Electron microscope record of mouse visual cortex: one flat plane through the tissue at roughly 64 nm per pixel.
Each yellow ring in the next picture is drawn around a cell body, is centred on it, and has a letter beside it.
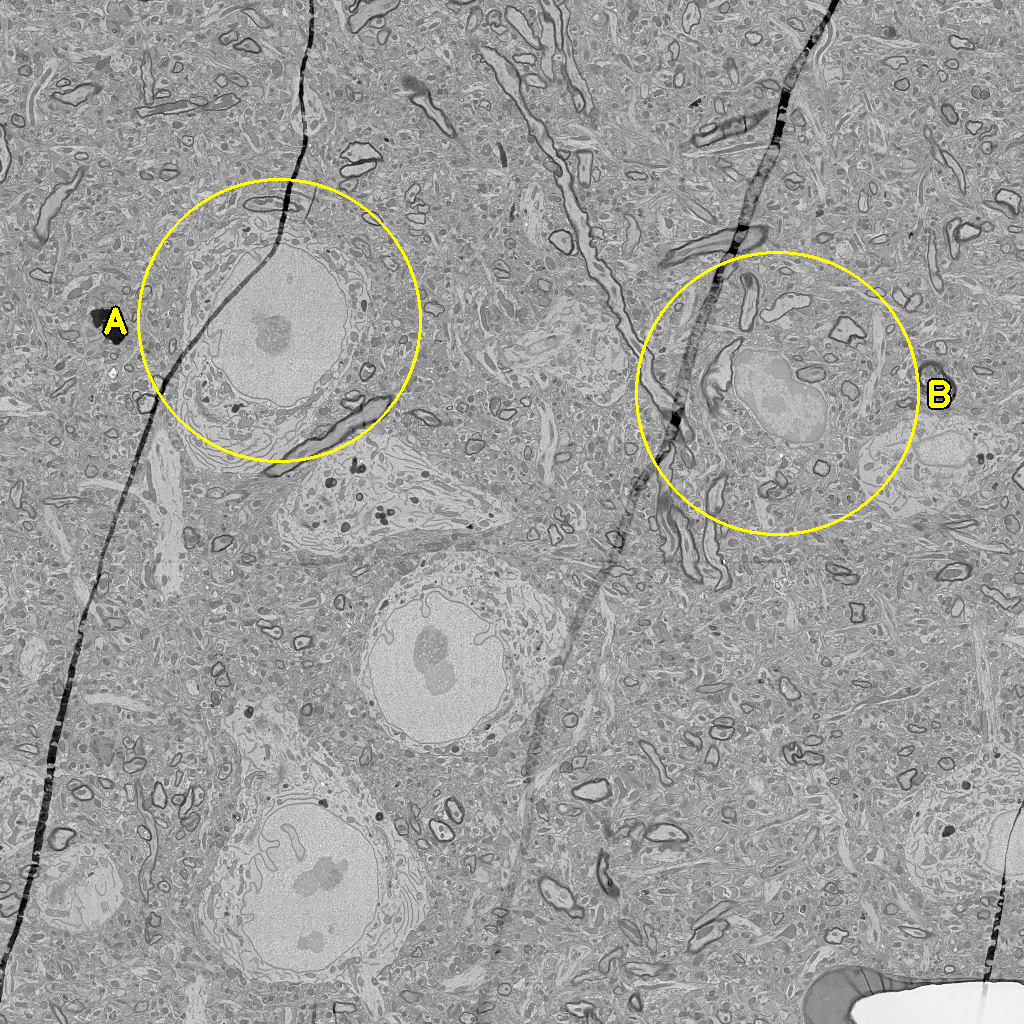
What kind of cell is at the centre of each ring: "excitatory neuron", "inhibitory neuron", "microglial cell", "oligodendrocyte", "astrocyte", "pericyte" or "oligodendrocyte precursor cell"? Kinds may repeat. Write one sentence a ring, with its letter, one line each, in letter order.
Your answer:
The centre of ring A falls on an inhibitory neuron.
The centre of ring B falls on a microglial cell.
